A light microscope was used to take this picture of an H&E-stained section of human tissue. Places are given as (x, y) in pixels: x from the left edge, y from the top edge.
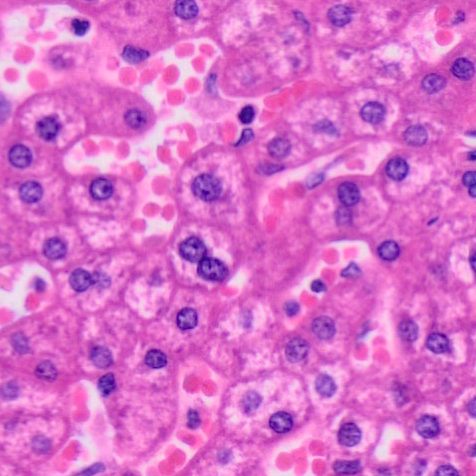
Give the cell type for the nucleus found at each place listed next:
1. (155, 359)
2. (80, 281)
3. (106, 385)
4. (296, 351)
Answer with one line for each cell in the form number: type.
1: hepatocyte
2: hepatocyte
3: fibroblast or stellate cell
4: hepatocyte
